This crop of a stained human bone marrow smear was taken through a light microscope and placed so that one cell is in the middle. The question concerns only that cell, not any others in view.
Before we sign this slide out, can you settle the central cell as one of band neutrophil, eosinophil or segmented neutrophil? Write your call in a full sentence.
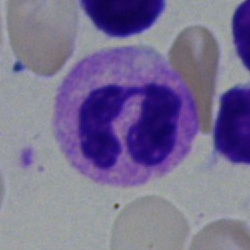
The cell the crop is centered on is a segmented neutrophil.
